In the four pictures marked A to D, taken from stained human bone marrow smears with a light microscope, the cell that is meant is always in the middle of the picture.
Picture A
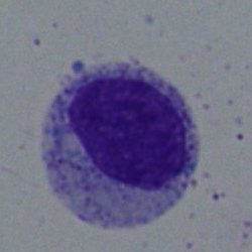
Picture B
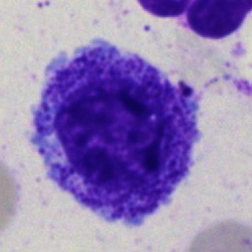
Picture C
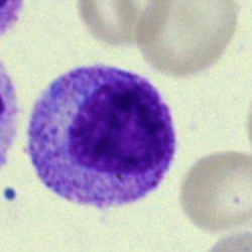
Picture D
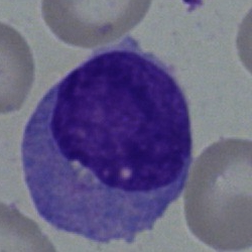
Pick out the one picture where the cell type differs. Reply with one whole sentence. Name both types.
Picture D differs, because its cell is a monocyte and the rest are myelocytes.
